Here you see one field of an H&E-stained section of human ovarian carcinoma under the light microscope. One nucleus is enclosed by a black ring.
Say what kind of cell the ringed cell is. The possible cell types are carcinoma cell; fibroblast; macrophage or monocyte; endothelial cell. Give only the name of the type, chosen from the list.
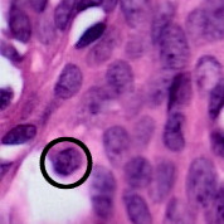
macrophage or monocyte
